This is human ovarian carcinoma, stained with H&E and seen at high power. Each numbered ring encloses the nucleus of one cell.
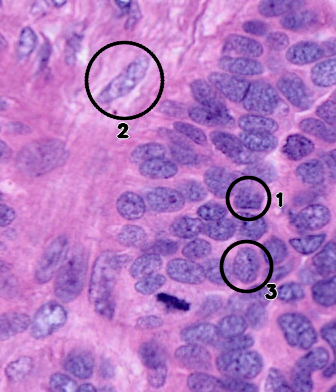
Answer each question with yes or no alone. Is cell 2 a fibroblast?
yes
